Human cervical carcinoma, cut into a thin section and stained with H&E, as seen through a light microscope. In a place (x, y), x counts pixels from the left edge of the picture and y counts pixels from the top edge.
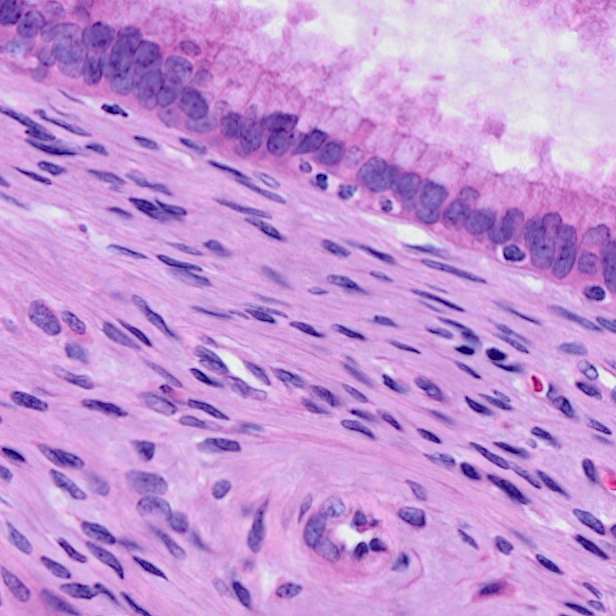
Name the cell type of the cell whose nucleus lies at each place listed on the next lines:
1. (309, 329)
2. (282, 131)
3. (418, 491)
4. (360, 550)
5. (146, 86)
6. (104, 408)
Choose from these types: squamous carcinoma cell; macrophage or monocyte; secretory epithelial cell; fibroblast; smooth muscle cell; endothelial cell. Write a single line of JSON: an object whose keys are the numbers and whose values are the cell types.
{"1": "fibroblast", "2": "secretory epithelial cell", "3": "fibroblast", "4": "endothelial cell", "5": "secretory epithelial cell", "6": "fibroblast"}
